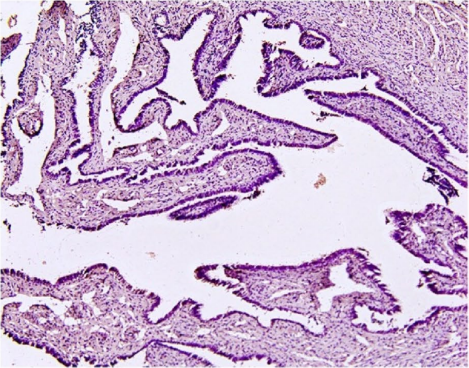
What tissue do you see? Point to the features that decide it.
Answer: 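Long branching folds project into a wide open lumen. Each fold is covered by a single dark lining layer of epithelial cells. The folds have cores of paler fibrous stroma.
Hence: uterine tube epithelial tissues.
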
